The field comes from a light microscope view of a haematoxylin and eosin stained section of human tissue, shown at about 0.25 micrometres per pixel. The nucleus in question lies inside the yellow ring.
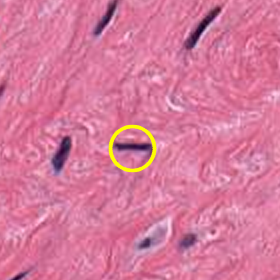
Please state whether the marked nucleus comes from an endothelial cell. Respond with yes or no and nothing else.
no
